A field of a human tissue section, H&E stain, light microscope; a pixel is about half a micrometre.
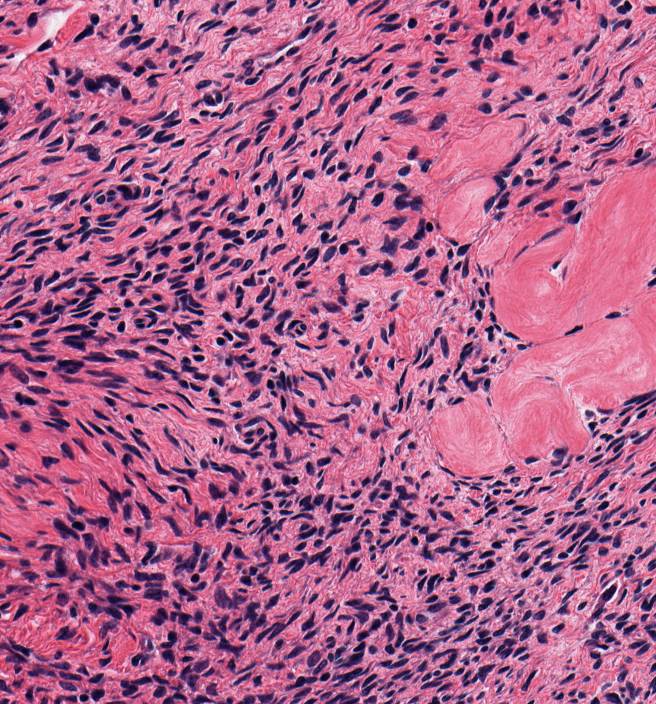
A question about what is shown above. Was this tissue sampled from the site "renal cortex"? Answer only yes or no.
no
